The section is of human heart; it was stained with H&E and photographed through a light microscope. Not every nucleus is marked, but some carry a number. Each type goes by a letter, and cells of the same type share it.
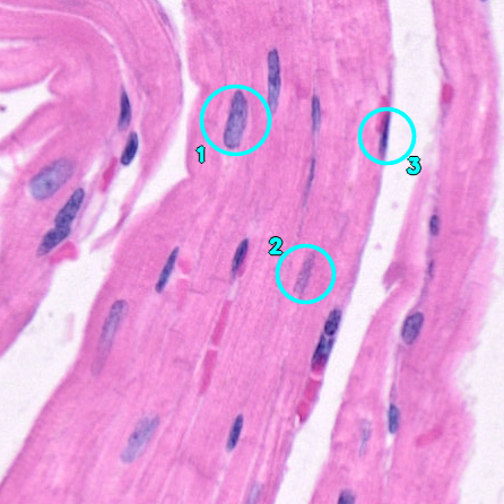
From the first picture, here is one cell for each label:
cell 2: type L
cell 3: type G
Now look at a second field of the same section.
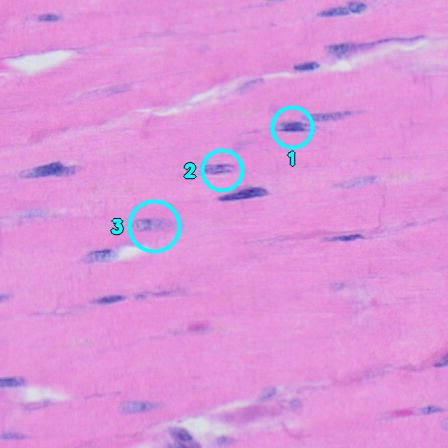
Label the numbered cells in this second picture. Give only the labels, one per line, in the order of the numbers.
type G
type G
type L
